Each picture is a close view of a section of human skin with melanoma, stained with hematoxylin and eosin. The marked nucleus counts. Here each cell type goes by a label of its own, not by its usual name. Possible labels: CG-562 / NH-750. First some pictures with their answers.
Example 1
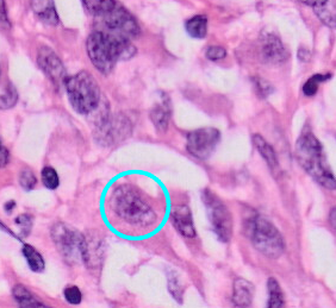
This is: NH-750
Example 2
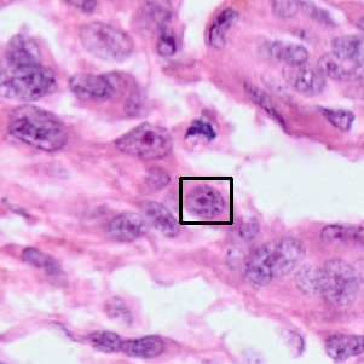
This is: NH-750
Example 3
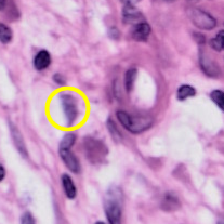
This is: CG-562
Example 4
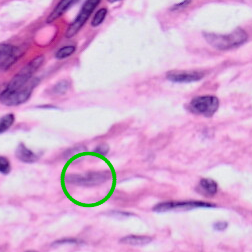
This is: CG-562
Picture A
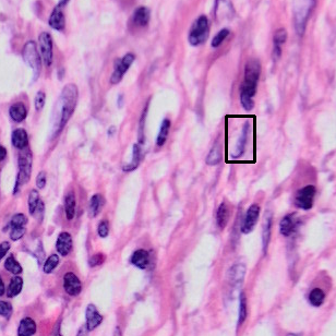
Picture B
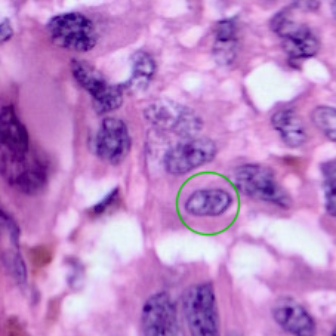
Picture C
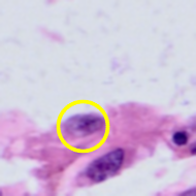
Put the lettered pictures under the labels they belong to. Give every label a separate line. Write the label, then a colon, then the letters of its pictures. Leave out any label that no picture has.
CG-562: A
NH-750: B, C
